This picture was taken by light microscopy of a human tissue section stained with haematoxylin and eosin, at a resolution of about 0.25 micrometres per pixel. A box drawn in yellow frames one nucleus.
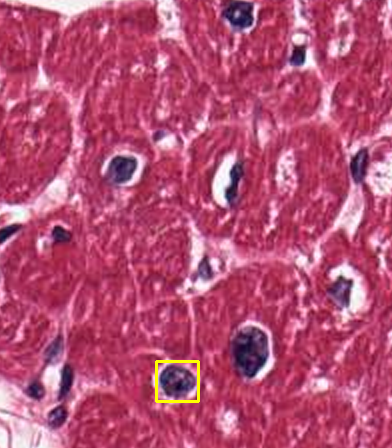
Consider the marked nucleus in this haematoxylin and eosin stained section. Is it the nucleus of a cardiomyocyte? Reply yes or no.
yes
